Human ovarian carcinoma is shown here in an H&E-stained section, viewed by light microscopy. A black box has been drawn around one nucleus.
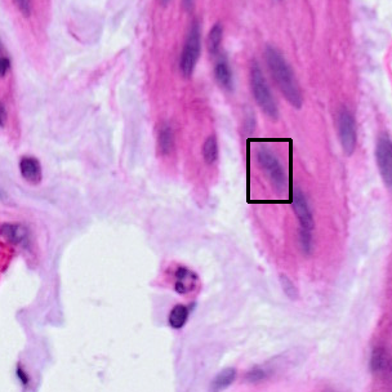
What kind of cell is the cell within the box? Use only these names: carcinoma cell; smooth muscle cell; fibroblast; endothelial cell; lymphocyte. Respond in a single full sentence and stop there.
At the level of cell identity, the cell within the box is a smooth muscle cell.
